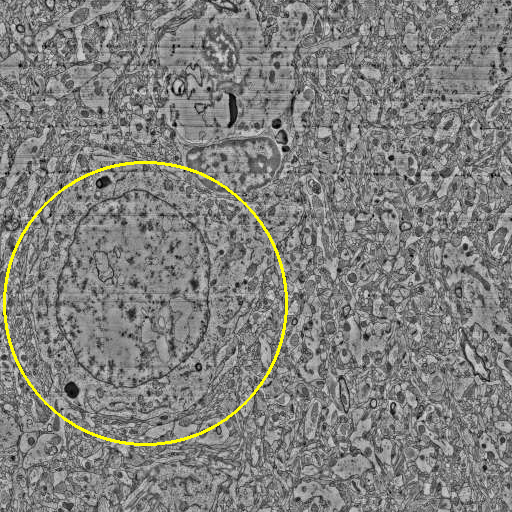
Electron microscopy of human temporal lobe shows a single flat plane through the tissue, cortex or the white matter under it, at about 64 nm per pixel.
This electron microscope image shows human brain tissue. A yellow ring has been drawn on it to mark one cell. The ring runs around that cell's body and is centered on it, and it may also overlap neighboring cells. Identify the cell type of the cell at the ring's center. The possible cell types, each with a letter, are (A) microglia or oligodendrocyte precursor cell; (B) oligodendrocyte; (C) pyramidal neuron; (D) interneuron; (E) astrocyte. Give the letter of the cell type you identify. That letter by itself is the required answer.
C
